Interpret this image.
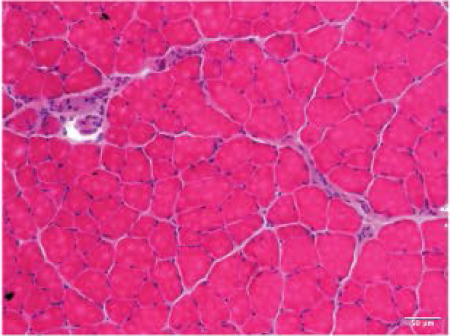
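This cross section of skeletal muscle shows closely packed, polygonal muscle fibers with deep pink eosinophilic cytoplasm. Their small dark purple nuclei lie at the edges of the fibers, under the cell surface, and not in the centre. Fibers are grouped into bundles by thin pale septa of connective tissue. At the upper left, a wider interstitial area holds a small vessel surrounded by a cluster of small, dark nuclei.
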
